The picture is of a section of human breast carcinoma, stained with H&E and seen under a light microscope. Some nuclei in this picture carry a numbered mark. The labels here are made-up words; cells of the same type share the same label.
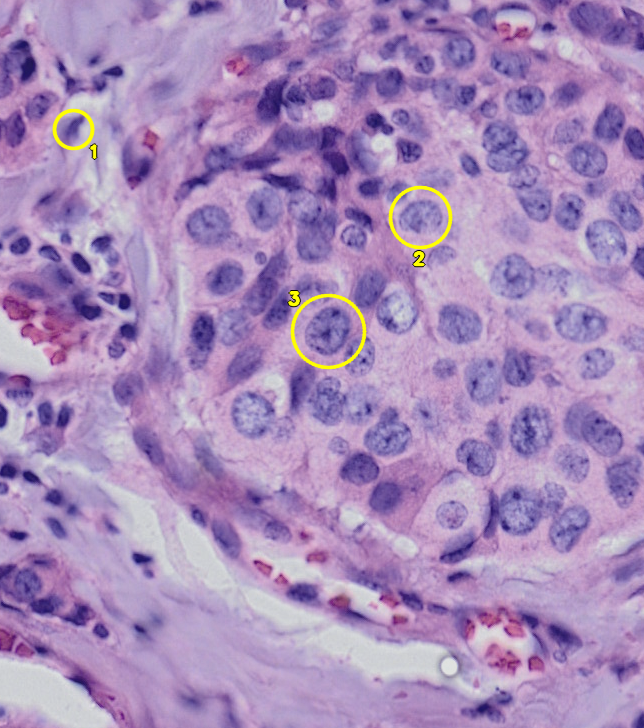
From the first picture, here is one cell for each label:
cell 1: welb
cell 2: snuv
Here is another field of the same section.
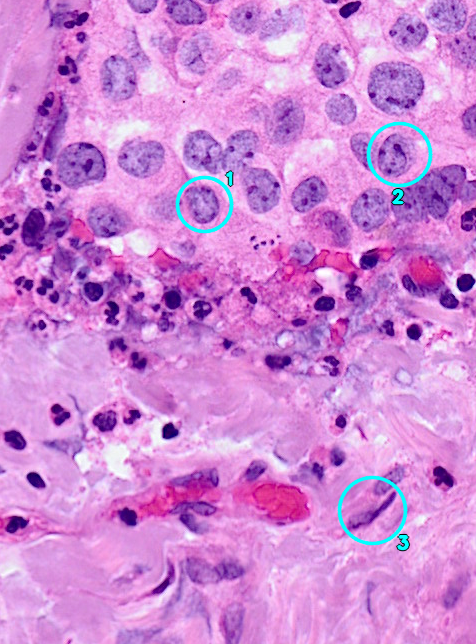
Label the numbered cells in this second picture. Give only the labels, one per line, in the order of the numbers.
snuv
snuv
welb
